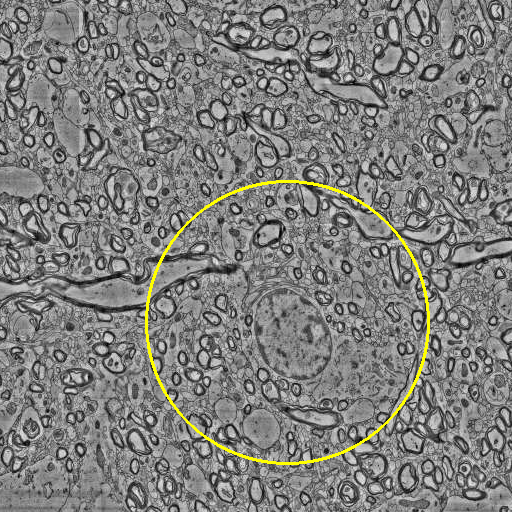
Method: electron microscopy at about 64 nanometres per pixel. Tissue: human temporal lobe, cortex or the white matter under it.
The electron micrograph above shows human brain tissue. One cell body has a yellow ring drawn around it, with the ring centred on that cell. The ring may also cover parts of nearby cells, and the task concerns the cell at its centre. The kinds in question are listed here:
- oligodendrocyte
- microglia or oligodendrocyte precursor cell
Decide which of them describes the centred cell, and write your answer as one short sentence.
The centred cell is a microglial cell or oligodendrocyte precursor cell.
